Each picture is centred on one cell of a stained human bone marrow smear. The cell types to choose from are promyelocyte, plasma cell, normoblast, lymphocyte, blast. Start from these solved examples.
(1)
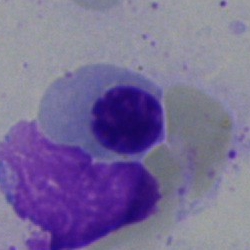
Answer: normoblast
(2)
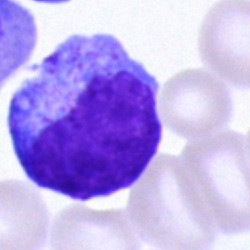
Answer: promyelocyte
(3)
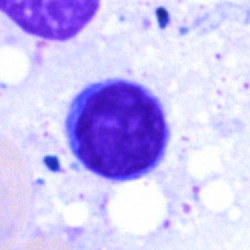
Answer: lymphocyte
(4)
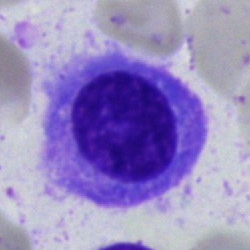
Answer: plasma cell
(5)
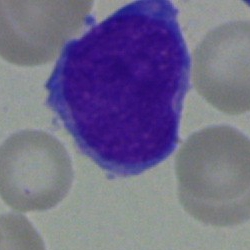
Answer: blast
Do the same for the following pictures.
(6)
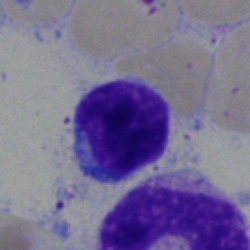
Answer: lymphocyte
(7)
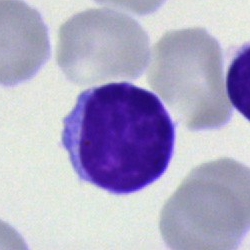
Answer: lymphocyte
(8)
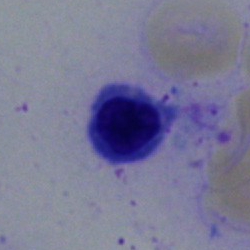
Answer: normoblast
